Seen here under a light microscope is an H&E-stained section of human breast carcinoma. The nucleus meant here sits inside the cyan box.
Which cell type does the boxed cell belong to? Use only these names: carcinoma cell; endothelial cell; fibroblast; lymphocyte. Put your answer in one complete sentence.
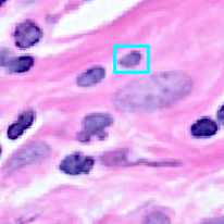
This is a lymphocyte.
